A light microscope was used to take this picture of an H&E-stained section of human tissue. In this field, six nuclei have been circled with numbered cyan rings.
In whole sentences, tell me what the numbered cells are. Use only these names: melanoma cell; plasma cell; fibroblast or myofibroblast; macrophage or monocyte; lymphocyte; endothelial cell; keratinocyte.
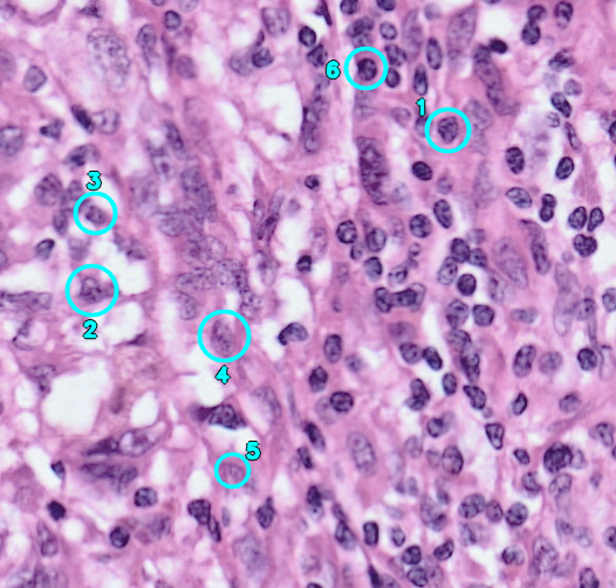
Cell 1 is a lymphocyte, cell 2 is a melanoma cell, cell 3 is a melanoma cell, cell 4 is a melanoma cell, cell 5 is a melanoma cell and cell 6 is a plasma cell.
